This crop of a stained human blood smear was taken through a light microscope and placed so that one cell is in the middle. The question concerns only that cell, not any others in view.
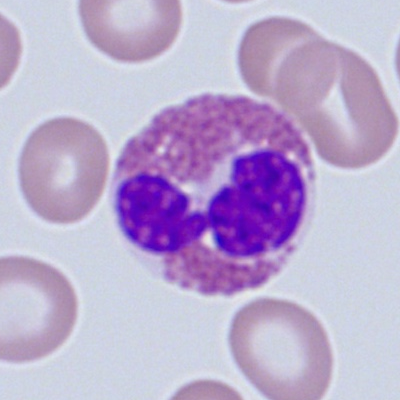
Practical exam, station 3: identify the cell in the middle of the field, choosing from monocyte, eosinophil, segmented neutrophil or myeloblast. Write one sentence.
Answering briefly, the cell in the middle is an eosinophil.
